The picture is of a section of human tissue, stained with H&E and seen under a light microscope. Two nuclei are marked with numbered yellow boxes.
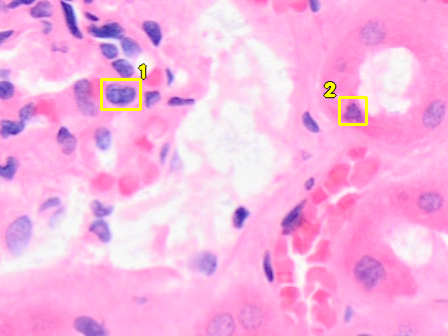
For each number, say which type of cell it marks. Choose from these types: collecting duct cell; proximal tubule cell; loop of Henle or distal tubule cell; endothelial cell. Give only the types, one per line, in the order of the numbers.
endothelial cell
proximal tubule cell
